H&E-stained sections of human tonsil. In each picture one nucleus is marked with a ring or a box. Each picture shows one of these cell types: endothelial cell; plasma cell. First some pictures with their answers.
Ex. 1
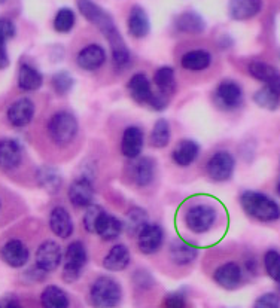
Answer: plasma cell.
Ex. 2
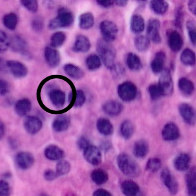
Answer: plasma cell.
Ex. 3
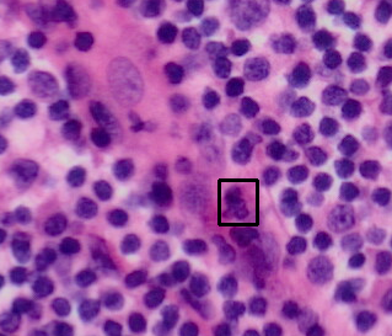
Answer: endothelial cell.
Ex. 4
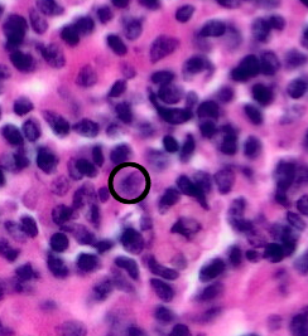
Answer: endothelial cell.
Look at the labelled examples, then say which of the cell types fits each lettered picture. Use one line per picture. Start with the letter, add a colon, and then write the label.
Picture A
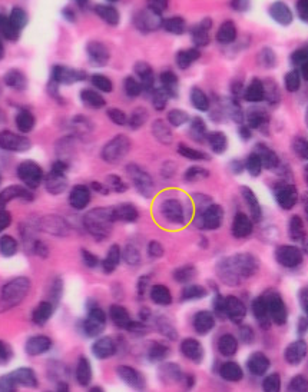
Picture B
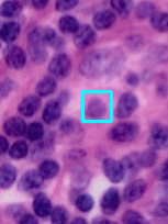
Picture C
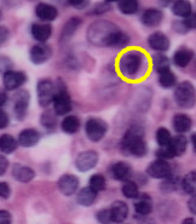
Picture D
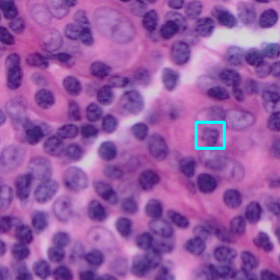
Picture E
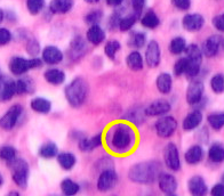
A: endothelial cell.
B: endothelial cell.
C: endothelial cell.
D: endothelial cell.
E: endothelial cell.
